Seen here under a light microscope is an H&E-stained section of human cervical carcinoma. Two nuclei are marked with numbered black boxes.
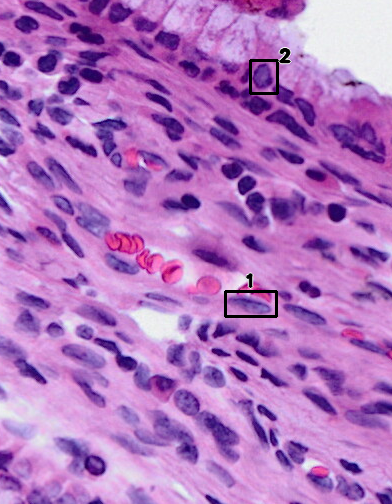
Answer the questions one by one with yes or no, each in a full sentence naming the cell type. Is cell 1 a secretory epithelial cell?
No, number 1 identifies an endothelial cell, not a secretory epithelial cell.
